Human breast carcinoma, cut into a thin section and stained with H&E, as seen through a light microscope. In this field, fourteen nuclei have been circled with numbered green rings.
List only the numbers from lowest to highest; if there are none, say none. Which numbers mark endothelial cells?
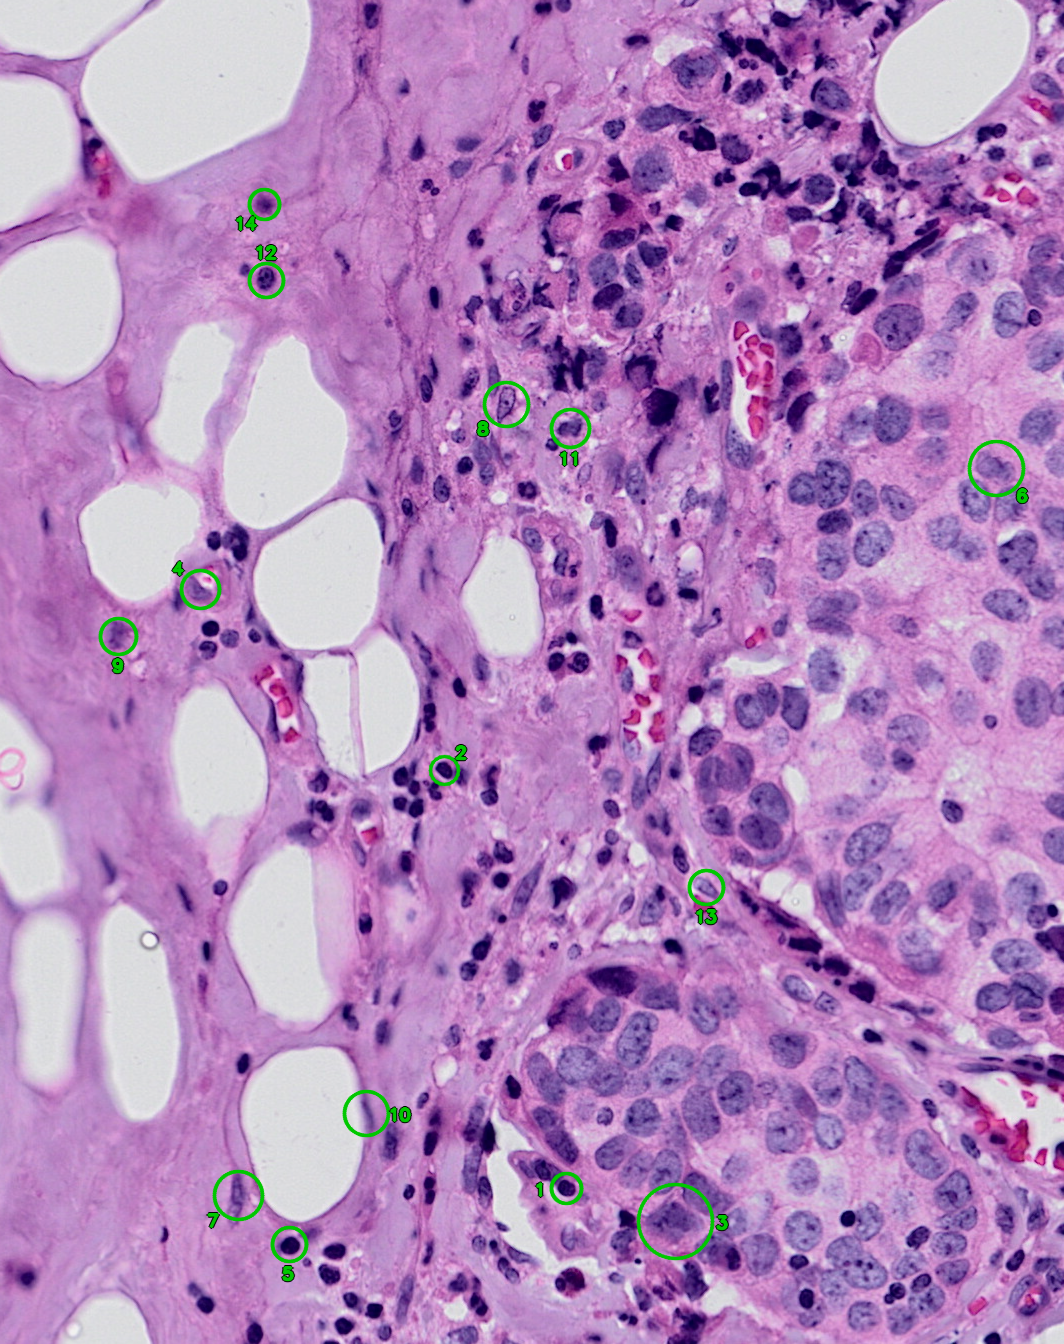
4, 13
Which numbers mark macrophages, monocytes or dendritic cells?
8, 11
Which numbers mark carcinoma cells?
3, 6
